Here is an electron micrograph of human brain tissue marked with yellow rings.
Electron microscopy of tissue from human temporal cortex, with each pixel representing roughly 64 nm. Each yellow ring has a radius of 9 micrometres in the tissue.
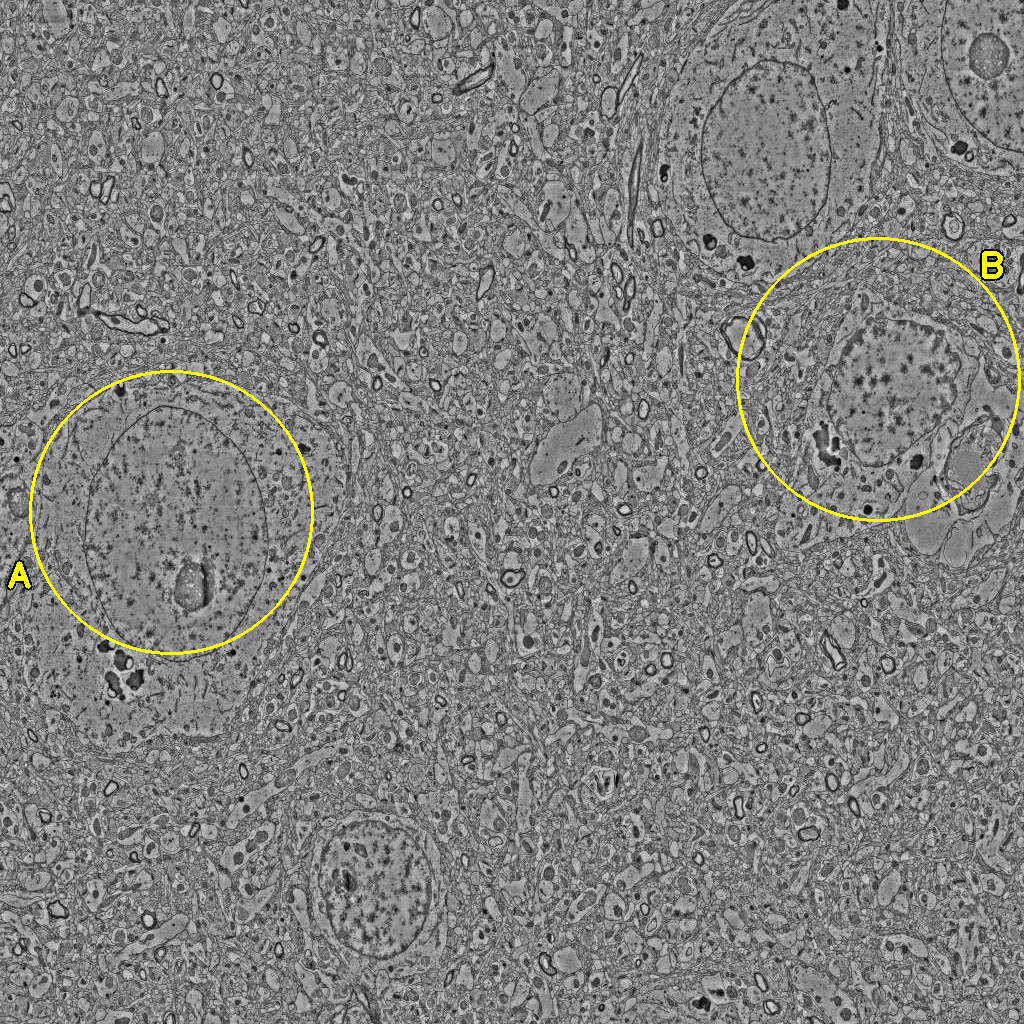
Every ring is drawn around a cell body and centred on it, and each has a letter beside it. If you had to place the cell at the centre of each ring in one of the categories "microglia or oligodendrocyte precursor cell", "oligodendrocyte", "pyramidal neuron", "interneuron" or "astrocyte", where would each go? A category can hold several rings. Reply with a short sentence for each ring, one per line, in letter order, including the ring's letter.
The centre of ring A holds a pyramidal neuron.
The centre of ring B holds an interneuron.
